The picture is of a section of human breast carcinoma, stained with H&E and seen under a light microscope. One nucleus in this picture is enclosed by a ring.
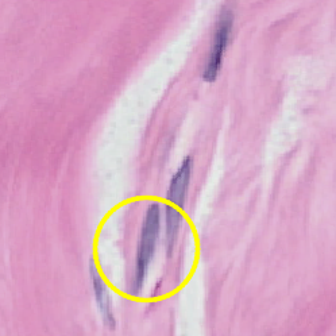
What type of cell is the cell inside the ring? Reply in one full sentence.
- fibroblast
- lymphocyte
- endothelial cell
As for its identity, the cell inside the ring is an endothelial cell.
